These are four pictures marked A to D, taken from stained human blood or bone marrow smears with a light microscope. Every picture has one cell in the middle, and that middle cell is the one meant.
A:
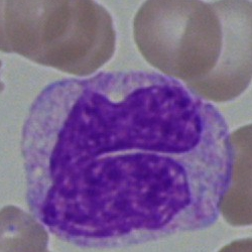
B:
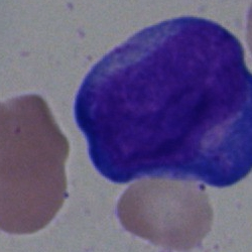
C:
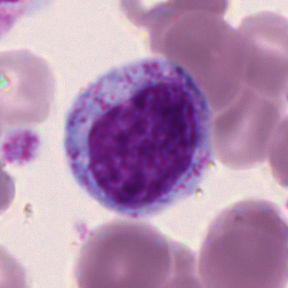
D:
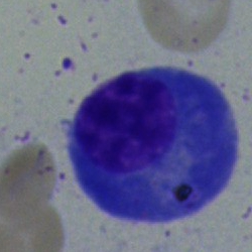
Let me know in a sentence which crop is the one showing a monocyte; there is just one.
Crop A, and no other, is the one that shows a monocyte.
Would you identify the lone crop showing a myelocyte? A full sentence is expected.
The one showing a myelocyte is crop C.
